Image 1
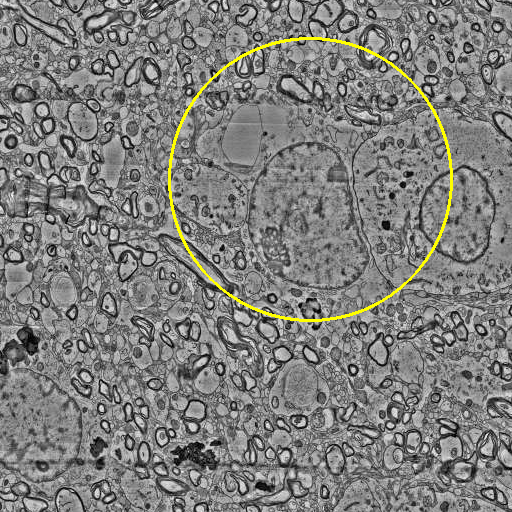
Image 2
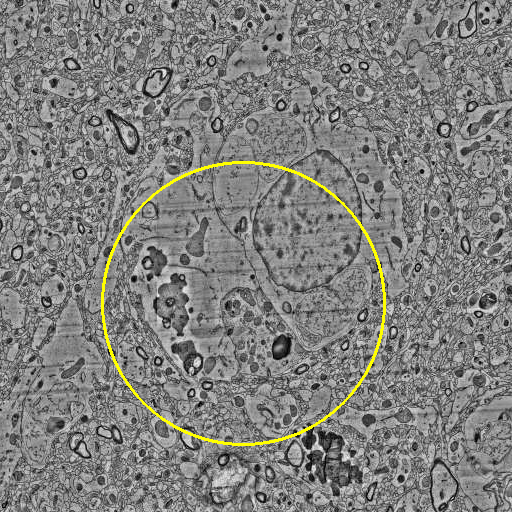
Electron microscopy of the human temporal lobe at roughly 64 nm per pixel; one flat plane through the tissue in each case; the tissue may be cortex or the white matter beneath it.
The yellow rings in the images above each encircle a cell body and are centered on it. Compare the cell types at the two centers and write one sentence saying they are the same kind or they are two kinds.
Taken together, the two cells at the ring centers are two kinds.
